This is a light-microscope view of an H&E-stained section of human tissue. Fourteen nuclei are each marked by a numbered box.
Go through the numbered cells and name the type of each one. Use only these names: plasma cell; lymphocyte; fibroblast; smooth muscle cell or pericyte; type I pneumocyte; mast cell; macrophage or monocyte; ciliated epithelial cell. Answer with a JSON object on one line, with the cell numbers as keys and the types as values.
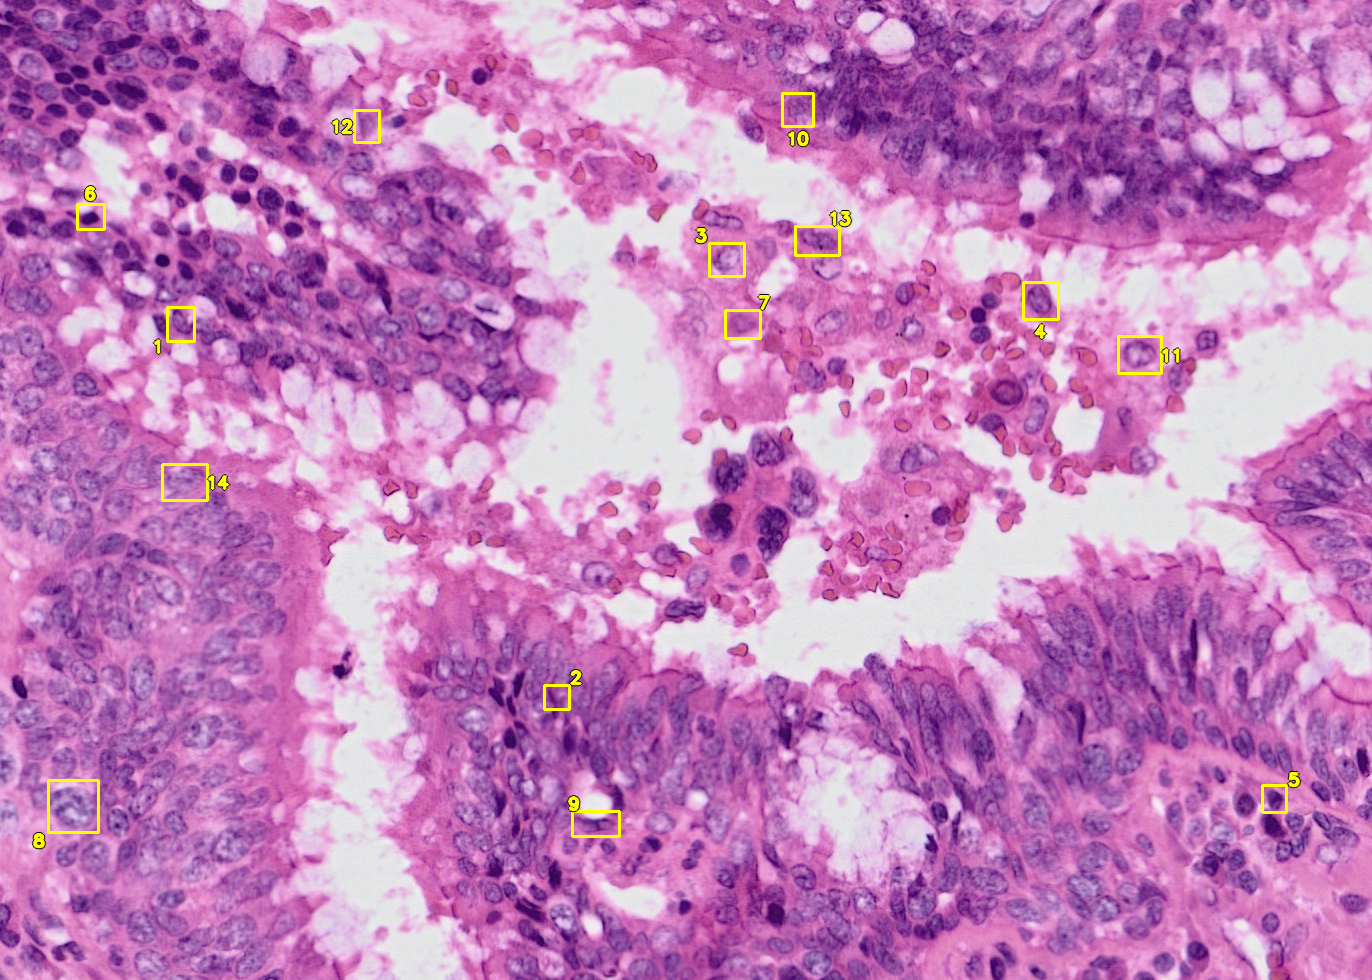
{"1": "ciliated epithelial cell", "2": "ciliated epithelial cell", "3": "macrophage or monocyte", "4": "macrophage or monocyte", "5": "plasma cell", "6": "ciliated epithelial cell", "7": "macrophage or monocyte", "8": "ciliated epithelial cell", "9": "ciliated epithelial cell", "10": "ciliated epithelial cell", "11": "macrophage or monocyte", "12": "ciliated epithelial cell", "13": "macrophage or monocyte", "14": "ciliated epithelial cell"}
